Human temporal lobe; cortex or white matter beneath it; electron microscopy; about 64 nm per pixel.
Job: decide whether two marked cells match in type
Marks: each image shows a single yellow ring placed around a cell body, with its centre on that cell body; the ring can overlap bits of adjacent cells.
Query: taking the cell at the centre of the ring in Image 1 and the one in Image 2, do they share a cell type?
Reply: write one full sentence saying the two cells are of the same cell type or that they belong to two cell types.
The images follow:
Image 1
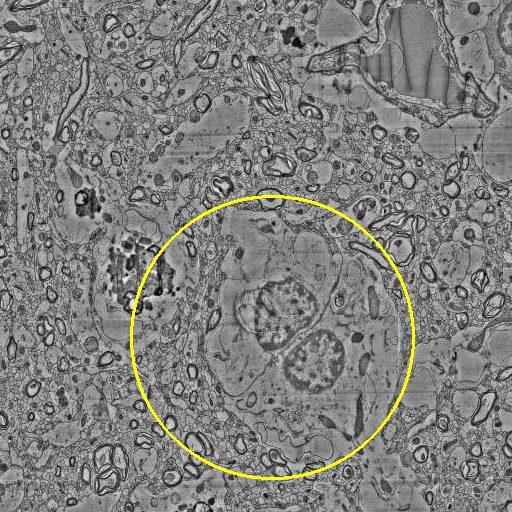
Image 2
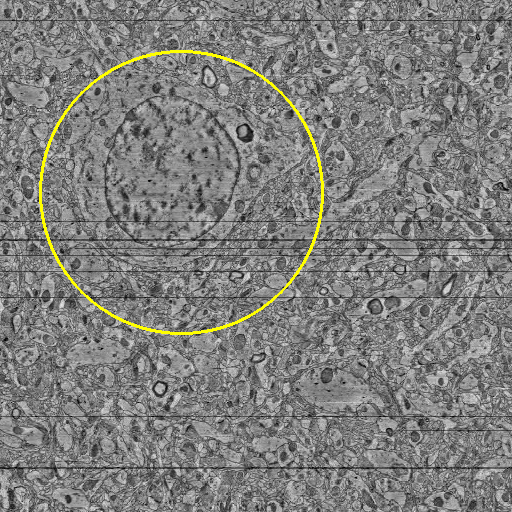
The cells at the ring centres in Image 1 and Image 2 belong to two cell types.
